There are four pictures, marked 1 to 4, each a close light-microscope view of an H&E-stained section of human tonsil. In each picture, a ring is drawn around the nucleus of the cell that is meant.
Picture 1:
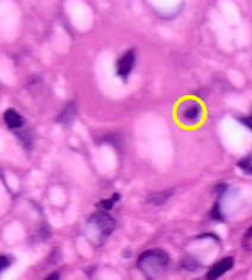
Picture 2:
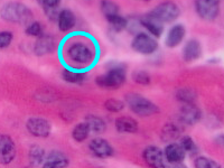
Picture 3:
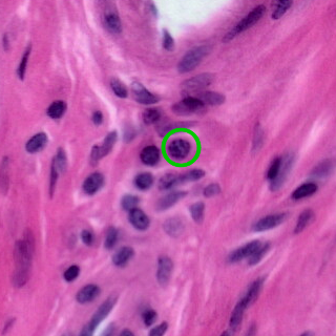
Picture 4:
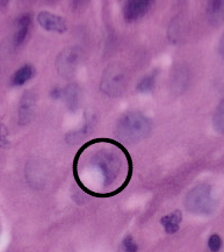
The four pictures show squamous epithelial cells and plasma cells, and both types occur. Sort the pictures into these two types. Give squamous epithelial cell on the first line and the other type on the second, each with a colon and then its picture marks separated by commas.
squamous epithelial cell: 1, 4
plasma cell: 2, 3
